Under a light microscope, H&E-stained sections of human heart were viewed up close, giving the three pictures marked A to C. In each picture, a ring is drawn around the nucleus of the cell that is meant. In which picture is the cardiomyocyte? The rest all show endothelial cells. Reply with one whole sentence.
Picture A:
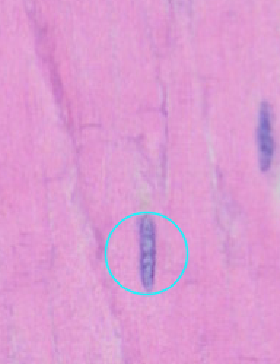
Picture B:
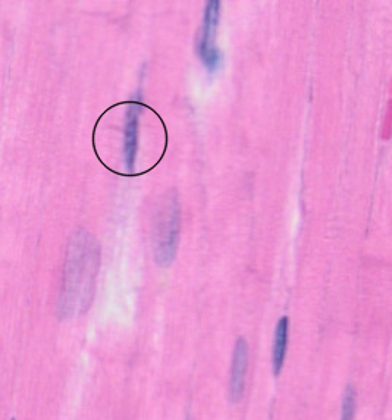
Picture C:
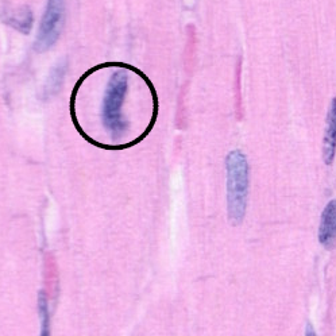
The cardiomyocyte is the one in picture A.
